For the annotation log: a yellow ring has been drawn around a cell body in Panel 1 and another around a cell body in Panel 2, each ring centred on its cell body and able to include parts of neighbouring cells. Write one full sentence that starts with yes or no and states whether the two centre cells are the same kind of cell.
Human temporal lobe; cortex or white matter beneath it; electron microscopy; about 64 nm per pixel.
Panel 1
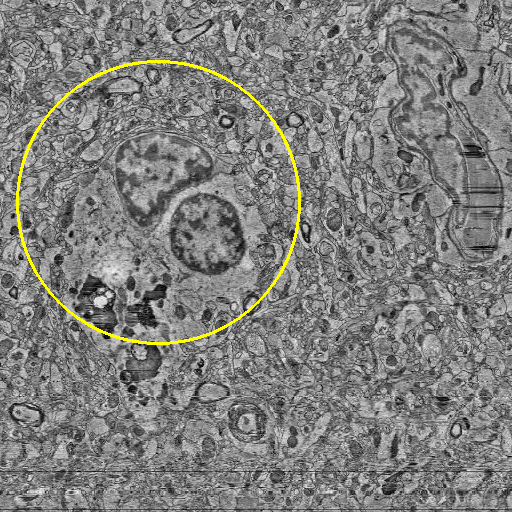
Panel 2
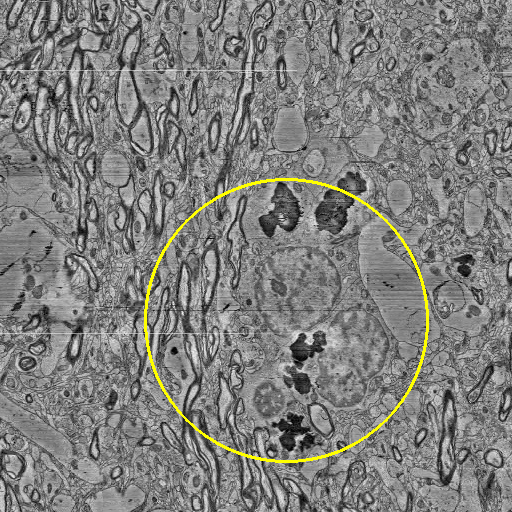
No, the two centre cells are two kinds of cell.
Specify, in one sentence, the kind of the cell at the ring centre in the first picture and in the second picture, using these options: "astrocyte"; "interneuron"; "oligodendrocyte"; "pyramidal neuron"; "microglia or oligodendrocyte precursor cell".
So the first is a microglial cell or oligodendrocyte precursor cell, the second an oligodendrocyte.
